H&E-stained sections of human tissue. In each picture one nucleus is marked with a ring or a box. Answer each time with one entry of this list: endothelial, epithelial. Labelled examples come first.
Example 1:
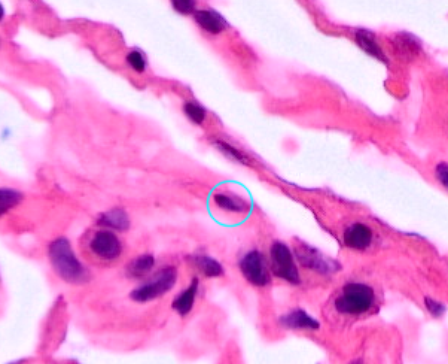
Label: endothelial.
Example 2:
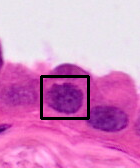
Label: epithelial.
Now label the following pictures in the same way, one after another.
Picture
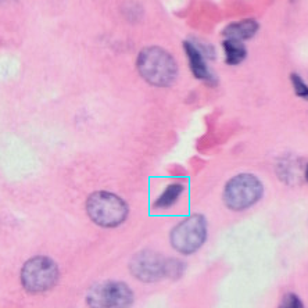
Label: endothelial.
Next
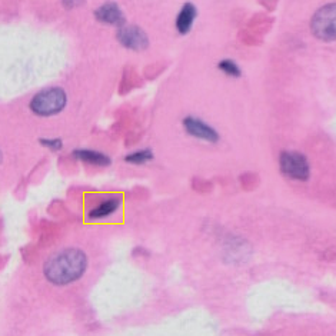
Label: endothelial.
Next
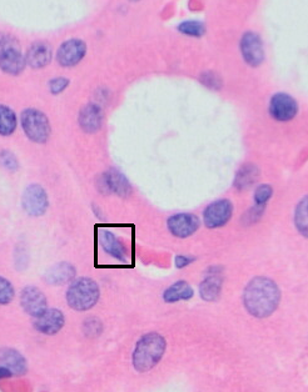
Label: endothelial.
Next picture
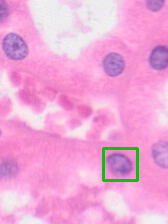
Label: epithelial.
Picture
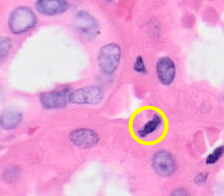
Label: endothelial.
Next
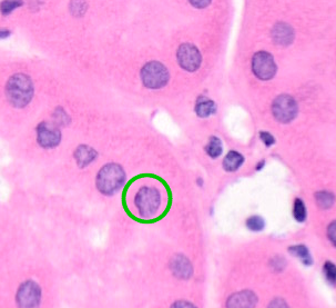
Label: epithelial.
